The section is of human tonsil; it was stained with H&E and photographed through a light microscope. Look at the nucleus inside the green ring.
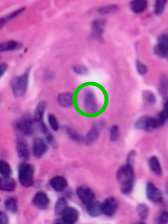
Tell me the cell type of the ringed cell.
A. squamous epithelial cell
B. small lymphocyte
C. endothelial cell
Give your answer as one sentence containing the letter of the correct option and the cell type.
Of all the options, C is right, since the ringed cell is an endothelial cell.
